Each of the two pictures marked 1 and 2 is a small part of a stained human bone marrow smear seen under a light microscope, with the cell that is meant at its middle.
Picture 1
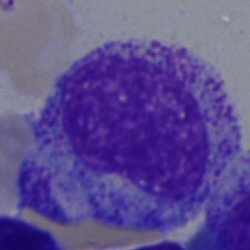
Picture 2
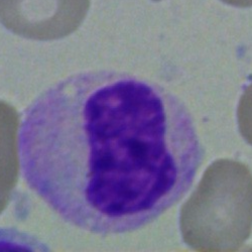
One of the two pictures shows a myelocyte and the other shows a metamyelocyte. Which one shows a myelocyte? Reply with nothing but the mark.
1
